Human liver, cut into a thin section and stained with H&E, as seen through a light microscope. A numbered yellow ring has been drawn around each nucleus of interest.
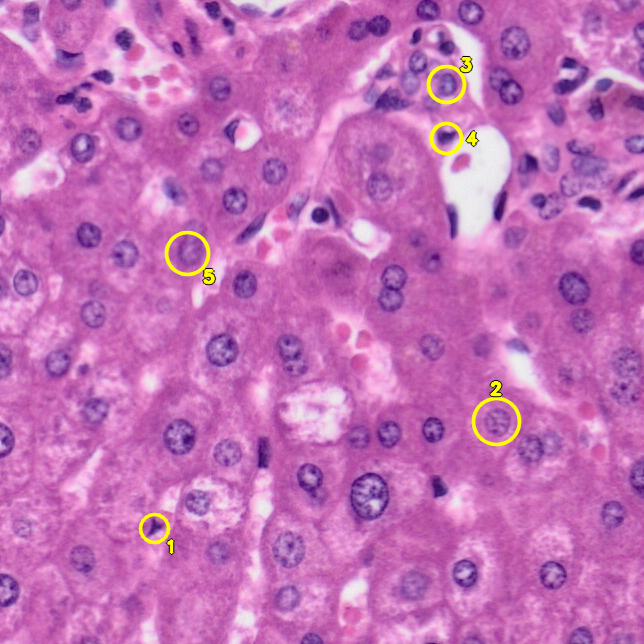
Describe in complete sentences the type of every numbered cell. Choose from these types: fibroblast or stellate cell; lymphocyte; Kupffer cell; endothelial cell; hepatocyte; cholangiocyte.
Cell 1 is an endothelial cell, cell 2 is a hepatocyte, cell 3 is a cholangiocyte, cell 4 is a fibroblast or stellate cell and cell 5 is a hepatocyte.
